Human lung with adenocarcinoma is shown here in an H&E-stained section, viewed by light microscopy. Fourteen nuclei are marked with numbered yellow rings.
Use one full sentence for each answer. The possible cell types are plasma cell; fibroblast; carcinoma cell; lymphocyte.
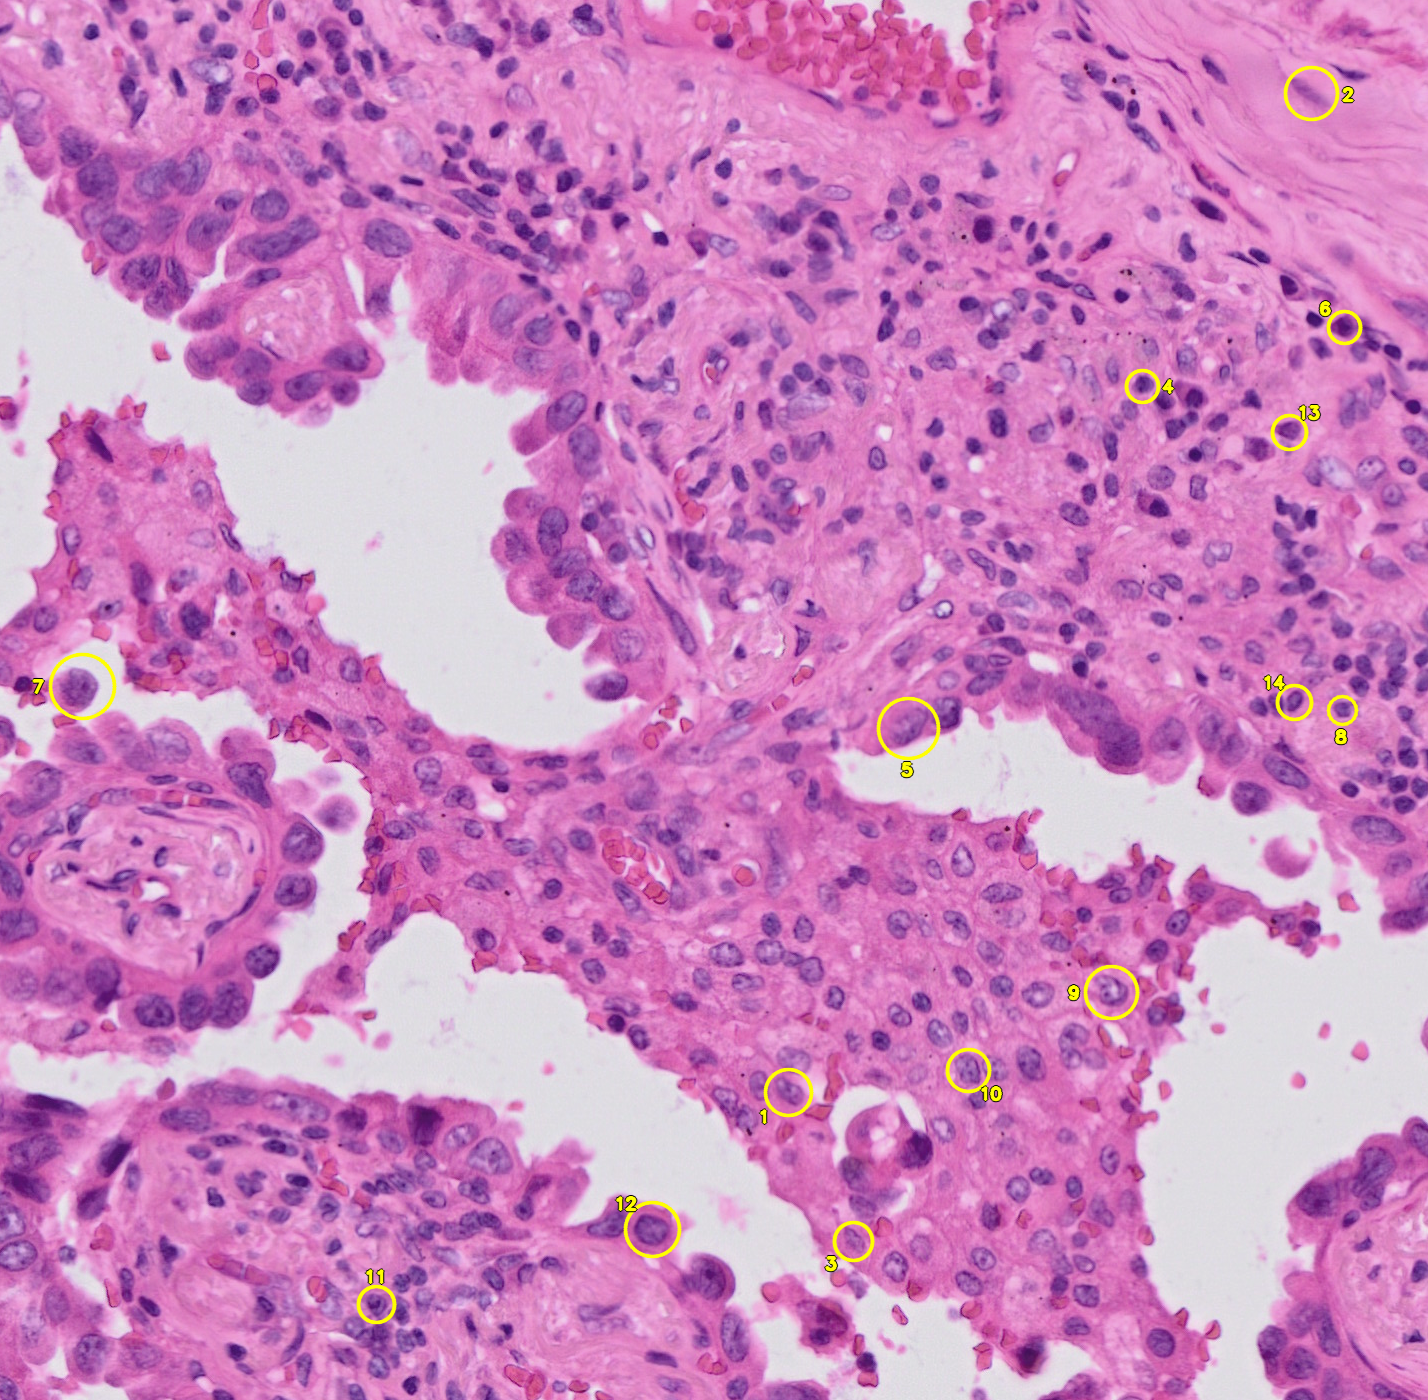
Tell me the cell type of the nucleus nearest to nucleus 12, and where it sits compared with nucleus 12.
The nearest one is a carcinoma cell, found to the left of nucleus 12.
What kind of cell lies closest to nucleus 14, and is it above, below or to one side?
The nearest one is a lymphocyte, found to the left of nucleus 14.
